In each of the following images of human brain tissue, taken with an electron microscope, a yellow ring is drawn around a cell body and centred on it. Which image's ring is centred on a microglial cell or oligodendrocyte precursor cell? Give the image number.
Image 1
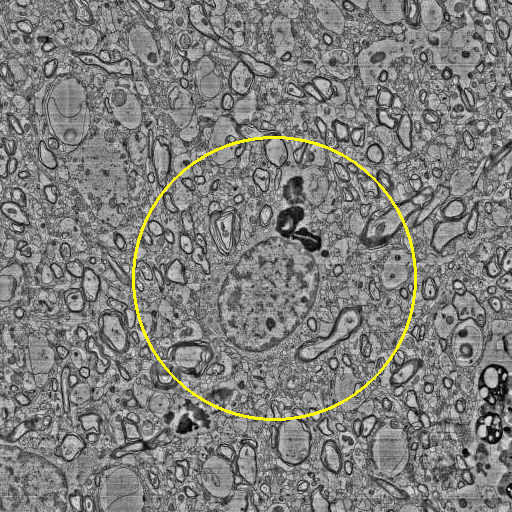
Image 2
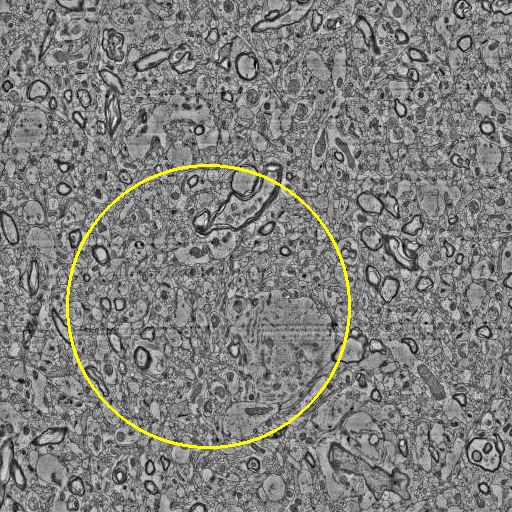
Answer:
2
